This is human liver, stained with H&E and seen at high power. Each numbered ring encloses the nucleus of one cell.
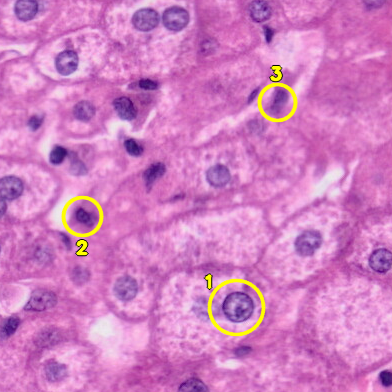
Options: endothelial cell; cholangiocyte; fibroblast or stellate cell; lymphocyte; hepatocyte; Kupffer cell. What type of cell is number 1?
hepatocyte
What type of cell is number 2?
Kupffer cell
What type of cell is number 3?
Kupffer cell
